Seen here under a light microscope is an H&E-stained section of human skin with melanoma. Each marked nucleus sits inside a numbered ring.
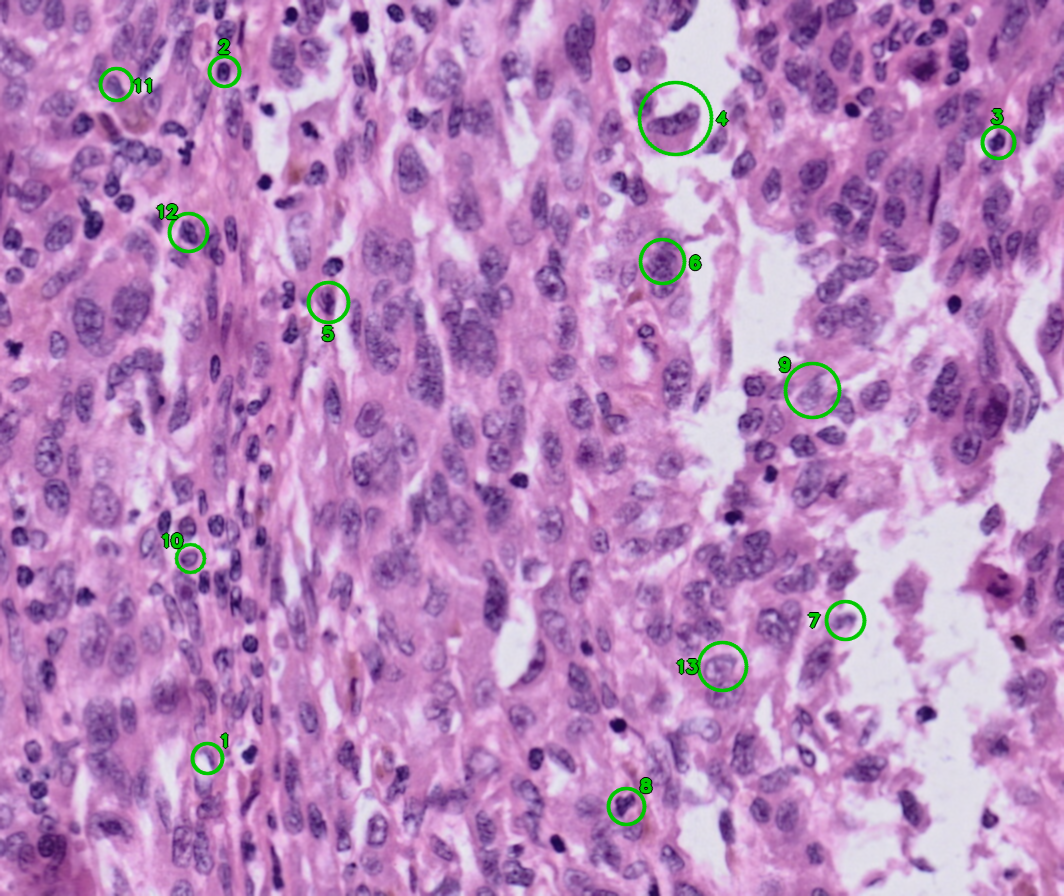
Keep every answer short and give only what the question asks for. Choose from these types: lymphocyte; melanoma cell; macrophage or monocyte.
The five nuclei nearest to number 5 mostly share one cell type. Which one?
lymphocyte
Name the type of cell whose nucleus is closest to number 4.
melanoma cell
